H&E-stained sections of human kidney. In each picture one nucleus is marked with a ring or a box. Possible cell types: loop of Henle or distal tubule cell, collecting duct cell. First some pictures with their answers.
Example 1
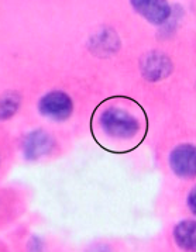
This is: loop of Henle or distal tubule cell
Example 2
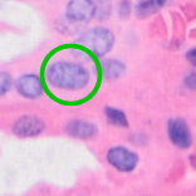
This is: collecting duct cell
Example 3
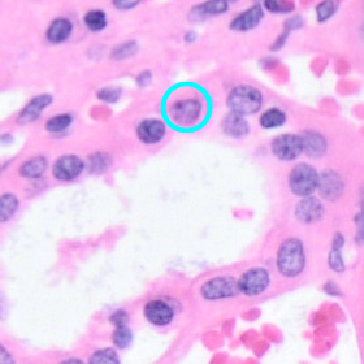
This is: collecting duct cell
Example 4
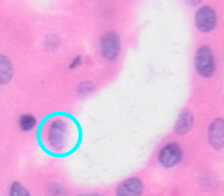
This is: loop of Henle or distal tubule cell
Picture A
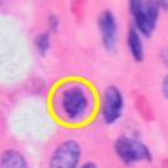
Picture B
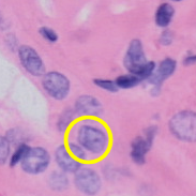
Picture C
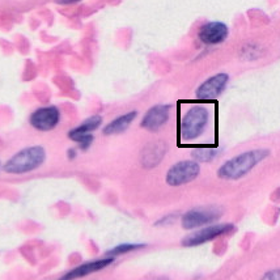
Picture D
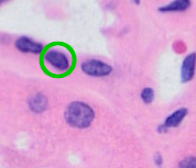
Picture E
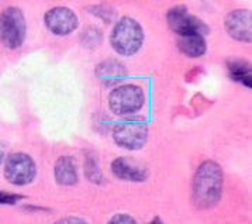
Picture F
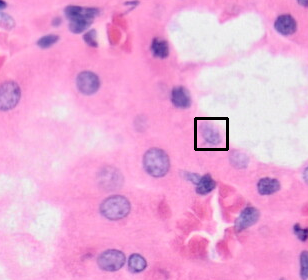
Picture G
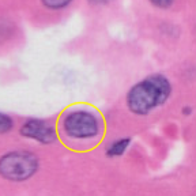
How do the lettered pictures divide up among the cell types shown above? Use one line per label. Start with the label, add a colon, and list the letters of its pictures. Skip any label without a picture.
loop of Henle or distal tubule cell: A, F, G
collecting duct cell: B, C, D, E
